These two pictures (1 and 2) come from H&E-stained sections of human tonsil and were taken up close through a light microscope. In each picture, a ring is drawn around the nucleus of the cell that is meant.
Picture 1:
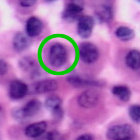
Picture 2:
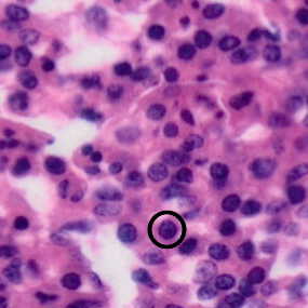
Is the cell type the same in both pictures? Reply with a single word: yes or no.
yes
